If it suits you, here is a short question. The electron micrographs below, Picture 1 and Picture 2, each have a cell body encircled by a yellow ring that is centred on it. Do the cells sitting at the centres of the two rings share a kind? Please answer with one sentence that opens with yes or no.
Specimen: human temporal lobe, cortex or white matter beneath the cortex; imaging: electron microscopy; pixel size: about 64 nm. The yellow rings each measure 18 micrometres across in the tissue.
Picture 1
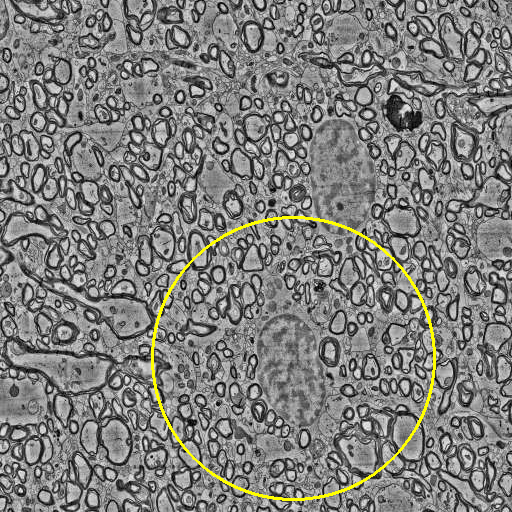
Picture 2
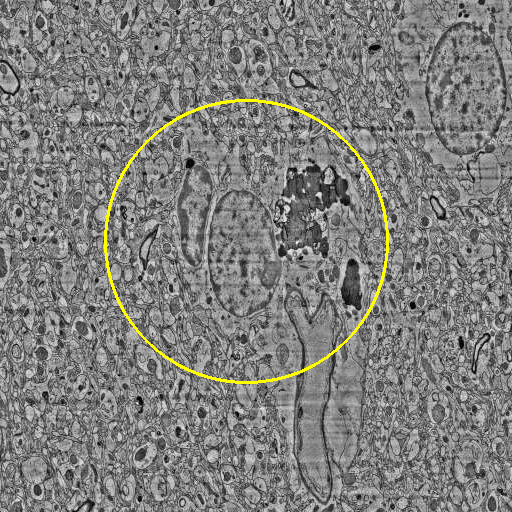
No, the two cells sitting at the ring centres fall into two kinds.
